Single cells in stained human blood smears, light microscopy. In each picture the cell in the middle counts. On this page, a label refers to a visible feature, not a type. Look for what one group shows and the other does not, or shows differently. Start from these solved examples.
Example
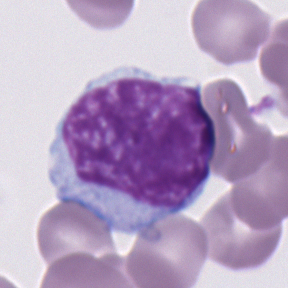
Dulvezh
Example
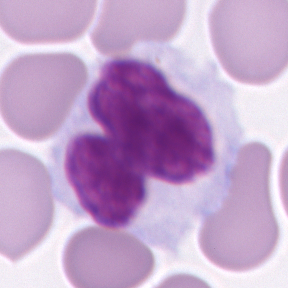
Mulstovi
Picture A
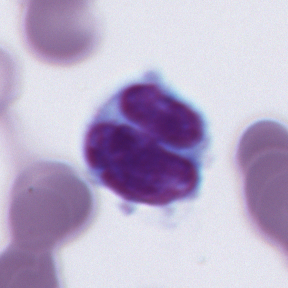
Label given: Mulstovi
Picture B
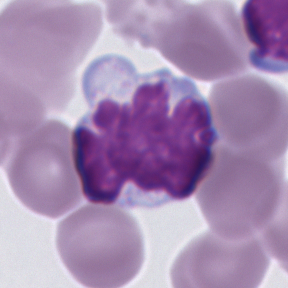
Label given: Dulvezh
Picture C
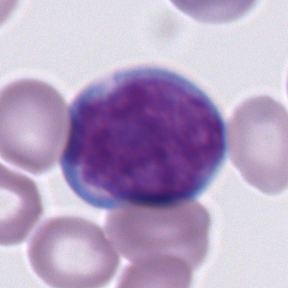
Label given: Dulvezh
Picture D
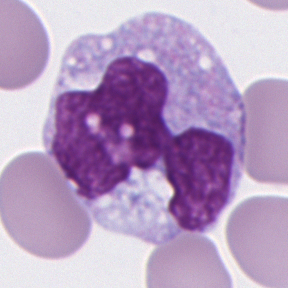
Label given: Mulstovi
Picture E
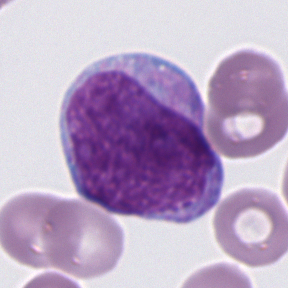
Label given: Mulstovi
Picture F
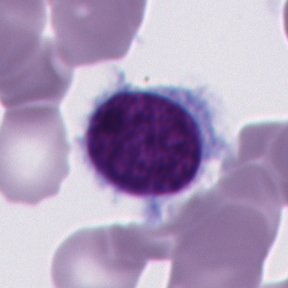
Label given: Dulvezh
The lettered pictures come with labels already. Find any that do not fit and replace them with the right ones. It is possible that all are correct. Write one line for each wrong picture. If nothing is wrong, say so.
B: Mulstovi, not Dulvezh
E: Dulvezh, not Mulstovi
